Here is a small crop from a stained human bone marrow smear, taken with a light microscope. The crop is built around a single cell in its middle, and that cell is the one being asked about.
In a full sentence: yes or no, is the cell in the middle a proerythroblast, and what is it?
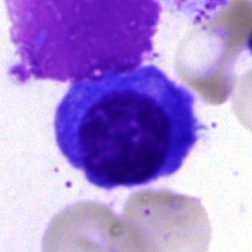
No, it is a plasma cell and not a proerythroblast that occupies the middle of the crop.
